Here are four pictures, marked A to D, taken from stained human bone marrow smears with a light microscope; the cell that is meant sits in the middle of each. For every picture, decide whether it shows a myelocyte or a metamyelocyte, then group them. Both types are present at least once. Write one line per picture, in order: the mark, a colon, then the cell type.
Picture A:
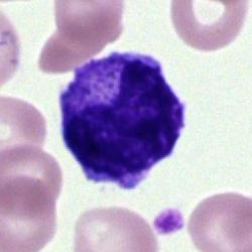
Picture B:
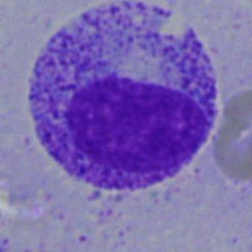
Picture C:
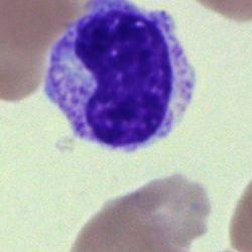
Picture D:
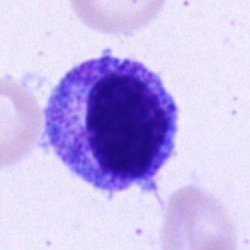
A: metamyelocyte
B: myelocyte
C: metamyelocyte
D: myelocyte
